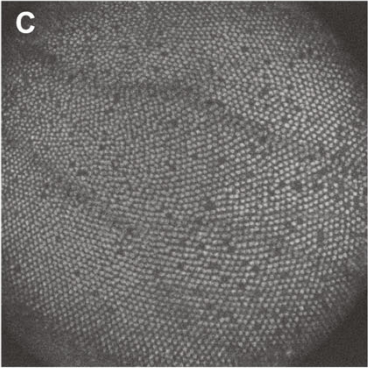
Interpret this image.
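This is a face-on view of a layer of cone photoreceptors, each showing as a small bright dot. The dots are packed in a highly regular, nearly crystalline mosaic of rows that runs across the whole circular field.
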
